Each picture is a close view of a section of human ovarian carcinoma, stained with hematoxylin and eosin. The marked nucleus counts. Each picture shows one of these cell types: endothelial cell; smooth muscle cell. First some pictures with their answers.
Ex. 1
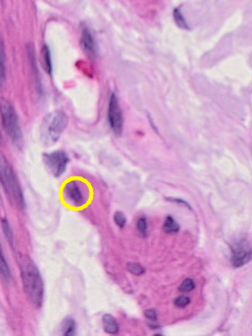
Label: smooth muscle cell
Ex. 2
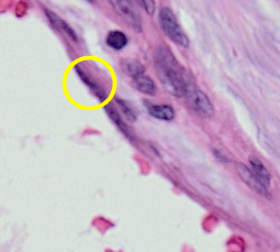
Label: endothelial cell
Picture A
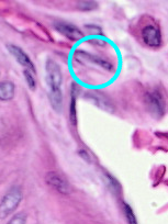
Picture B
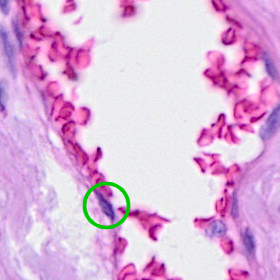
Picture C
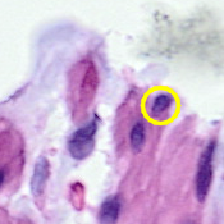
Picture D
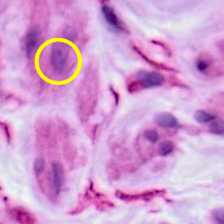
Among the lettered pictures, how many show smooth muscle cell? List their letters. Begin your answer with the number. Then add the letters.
2, namely C, D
